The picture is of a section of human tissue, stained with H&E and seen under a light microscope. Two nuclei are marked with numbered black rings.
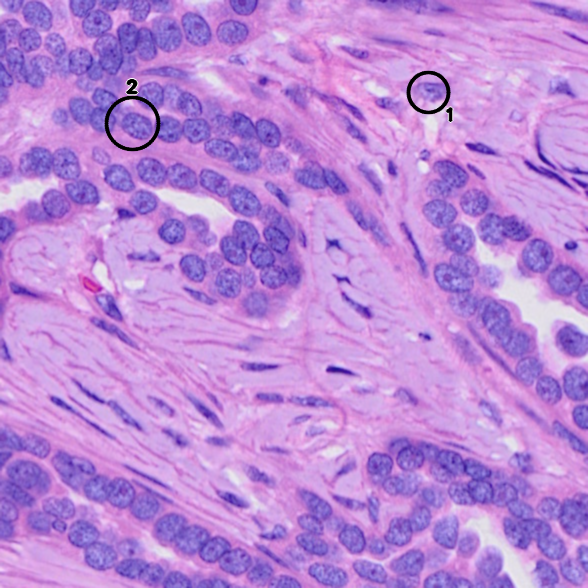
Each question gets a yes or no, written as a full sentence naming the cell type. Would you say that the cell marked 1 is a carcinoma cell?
No, the cell labelled 1 is a fibroblast and not a carcinoma cell.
